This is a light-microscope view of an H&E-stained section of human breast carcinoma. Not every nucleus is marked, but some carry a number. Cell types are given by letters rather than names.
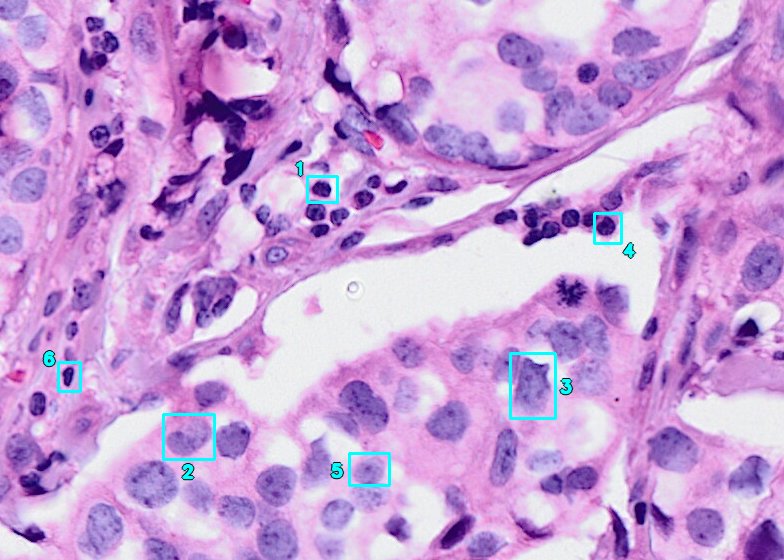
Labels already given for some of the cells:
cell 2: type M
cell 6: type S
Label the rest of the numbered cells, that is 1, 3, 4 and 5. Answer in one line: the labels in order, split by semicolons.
type S; type M; type S; type M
